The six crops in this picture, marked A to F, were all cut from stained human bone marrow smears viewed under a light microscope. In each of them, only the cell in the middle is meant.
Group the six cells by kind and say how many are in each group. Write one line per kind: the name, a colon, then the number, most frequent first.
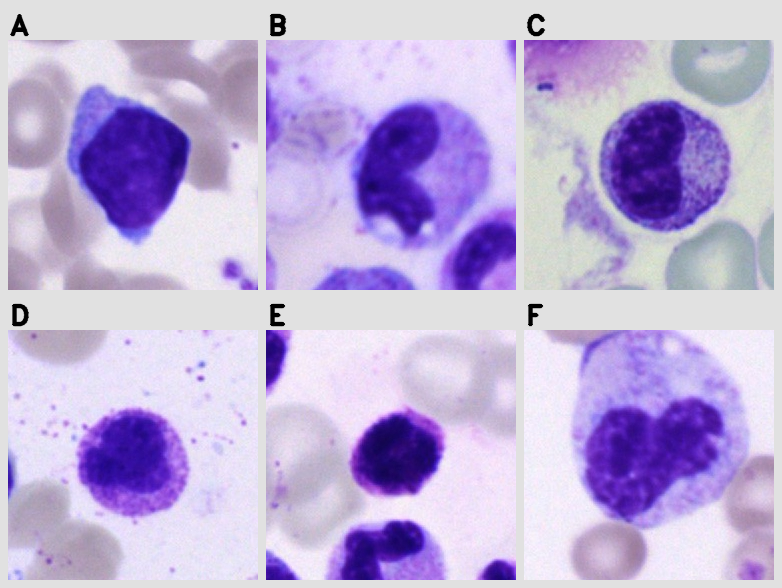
metamyelocyte: 3
basophil: 2
lymphocyte: 1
